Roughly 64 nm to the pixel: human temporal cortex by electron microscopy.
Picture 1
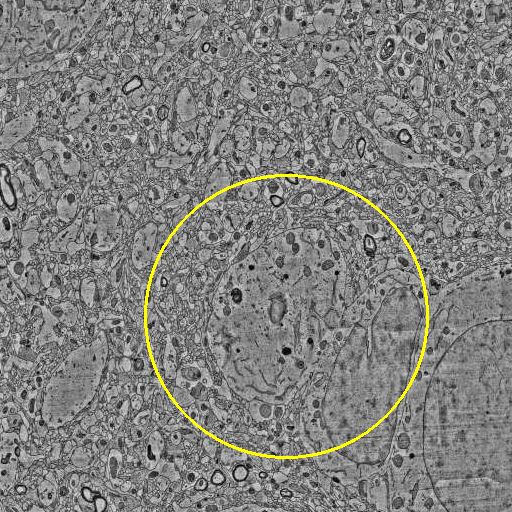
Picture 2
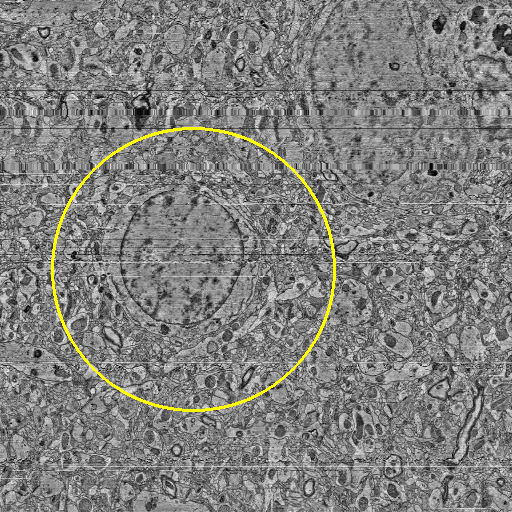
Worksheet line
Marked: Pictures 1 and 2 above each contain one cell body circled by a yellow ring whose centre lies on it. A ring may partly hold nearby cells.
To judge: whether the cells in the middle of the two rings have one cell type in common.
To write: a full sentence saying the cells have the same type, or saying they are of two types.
The cells in the middle of the rings in Picture 1 and Picture 2 have the same type.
